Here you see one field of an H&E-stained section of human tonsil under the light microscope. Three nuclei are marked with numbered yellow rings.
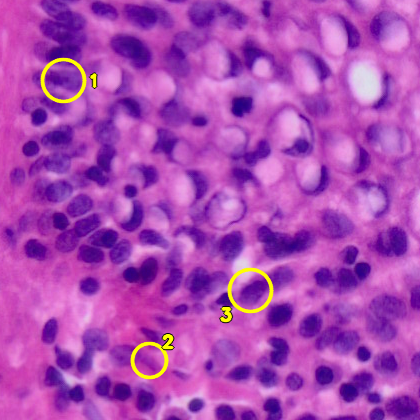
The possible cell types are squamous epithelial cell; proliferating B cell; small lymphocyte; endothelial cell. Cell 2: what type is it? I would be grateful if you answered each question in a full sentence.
Denoted by the label 2 in the section is an endothelial cell.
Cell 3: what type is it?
Cell 3 in the field is a squamous epithelial cell.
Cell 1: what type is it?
The cell bearing label 1 corresponds to a squamous epithelial cell.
